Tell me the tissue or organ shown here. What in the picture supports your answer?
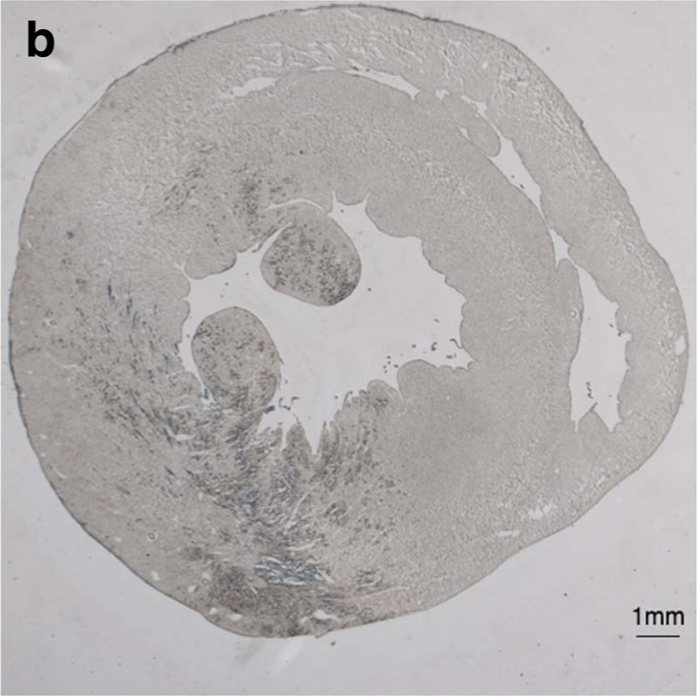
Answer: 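A round cross-section with a thick muscular wall around a central irregular cavity. Two rounded masses project into the central cavity. Narrow slit-like spaces lie within the outer wall. On this evidence: heart.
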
